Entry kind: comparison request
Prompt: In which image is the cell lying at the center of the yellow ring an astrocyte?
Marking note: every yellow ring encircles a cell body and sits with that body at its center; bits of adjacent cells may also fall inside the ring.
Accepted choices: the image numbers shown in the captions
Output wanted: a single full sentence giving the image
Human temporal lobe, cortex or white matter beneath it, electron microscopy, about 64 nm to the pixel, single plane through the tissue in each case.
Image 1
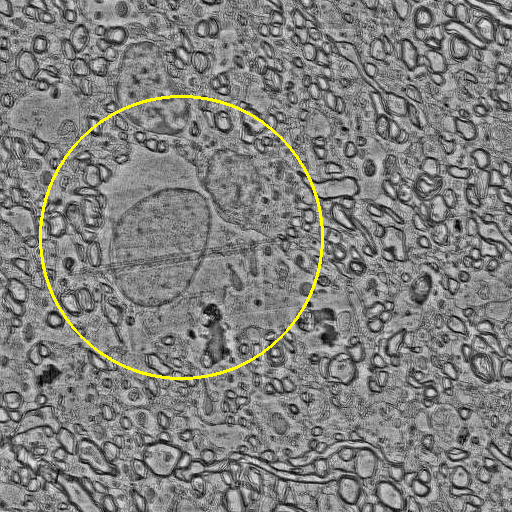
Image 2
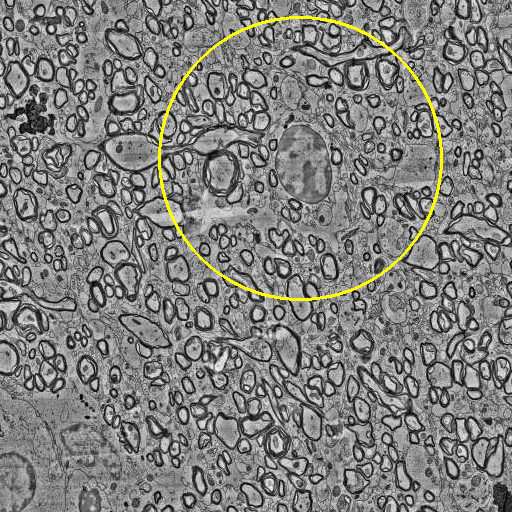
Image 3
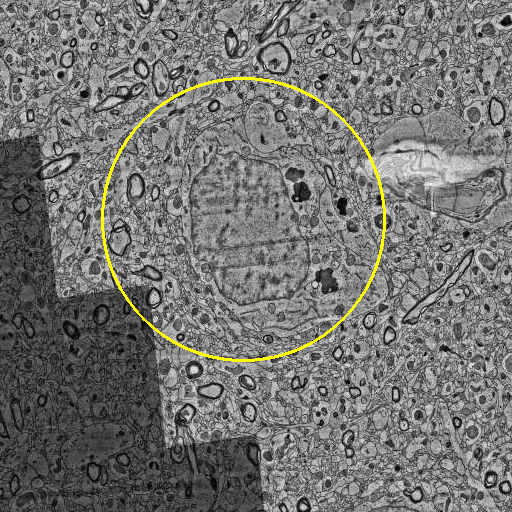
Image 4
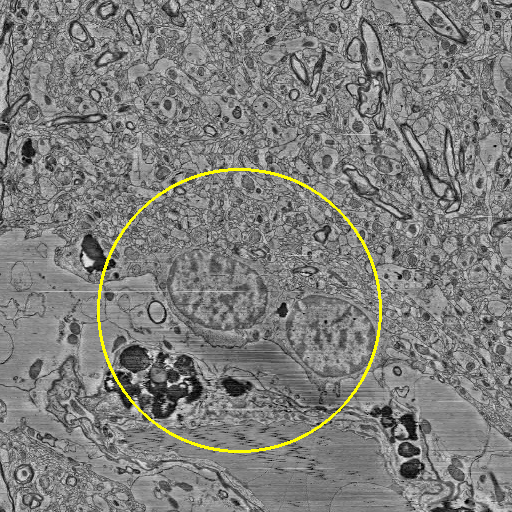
In image 1, the ringed cell at the center matches the prompt.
